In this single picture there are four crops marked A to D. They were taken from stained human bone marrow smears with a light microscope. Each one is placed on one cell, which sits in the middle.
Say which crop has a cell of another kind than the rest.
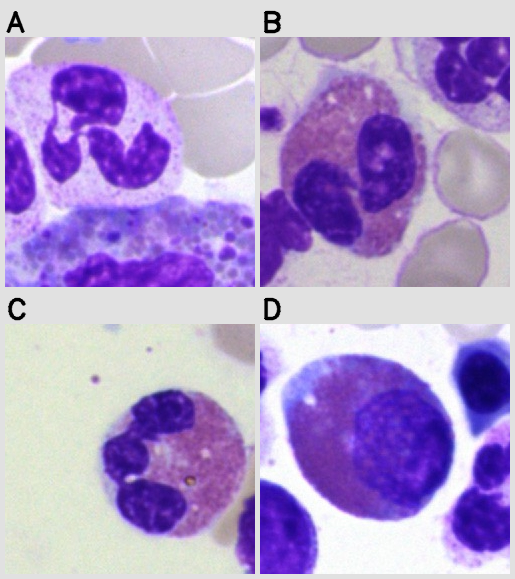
A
